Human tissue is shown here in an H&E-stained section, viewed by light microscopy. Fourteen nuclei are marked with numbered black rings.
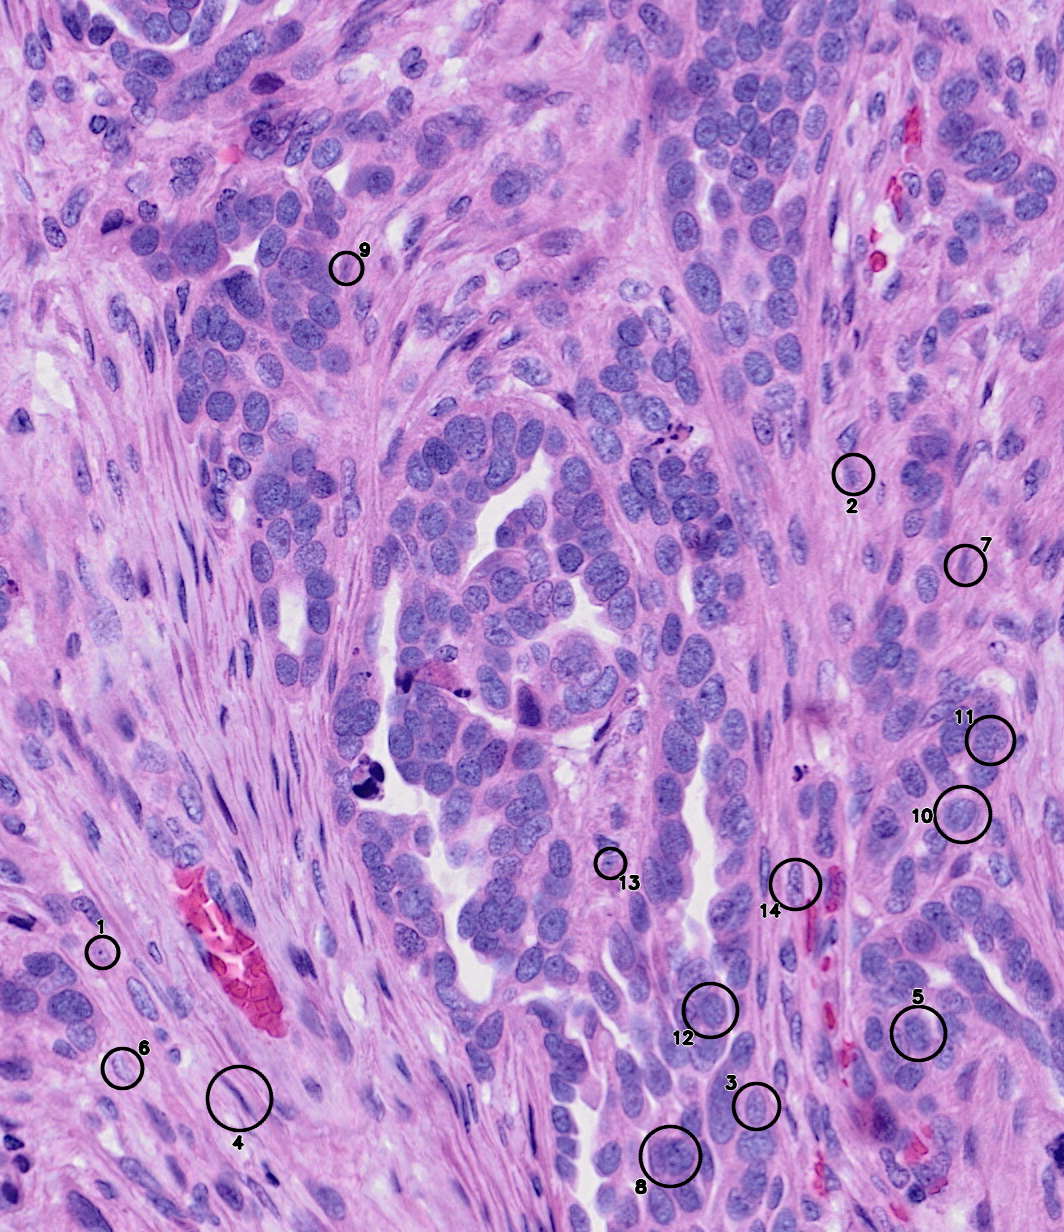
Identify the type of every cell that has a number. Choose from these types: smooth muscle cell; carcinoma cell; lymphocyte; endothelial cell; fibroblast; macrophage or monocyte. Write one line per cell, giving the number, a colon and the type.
1: fibroblast
2: fibroblast
3: carcinoma cell
4: fibroblast
5: carcinoma cell
6: fibroblast
7: fibroblast
8: carcinoma cell
9: fibroblast
10: carcinoma cell
11: carcinoma cell
12: carcinoma cell
13: fibroblast
14: fibroblast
